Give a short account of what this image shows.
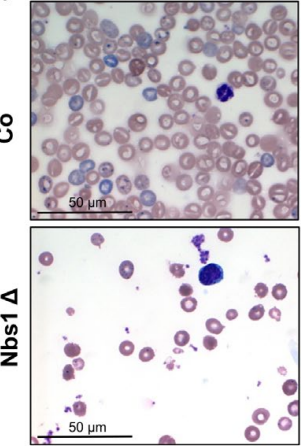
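Two stained blood smears, each made up mostly of round, anucleate red blood cells with a single nucleated white cell in the field. In the upper image the red cells lie densely packed and touch one another. One cell with a dark purple nucleus sits among them. In the lower image the red cells are sparse, with wide empty spaces between them, and many show a paler centre. A larger cell with a dark purple nucleus and small purple fragments lie scattered among them.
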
